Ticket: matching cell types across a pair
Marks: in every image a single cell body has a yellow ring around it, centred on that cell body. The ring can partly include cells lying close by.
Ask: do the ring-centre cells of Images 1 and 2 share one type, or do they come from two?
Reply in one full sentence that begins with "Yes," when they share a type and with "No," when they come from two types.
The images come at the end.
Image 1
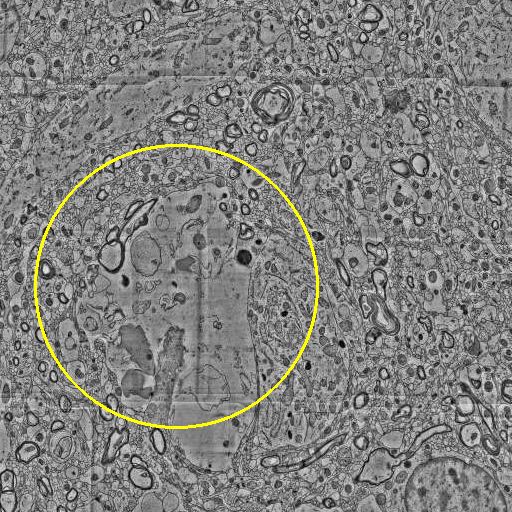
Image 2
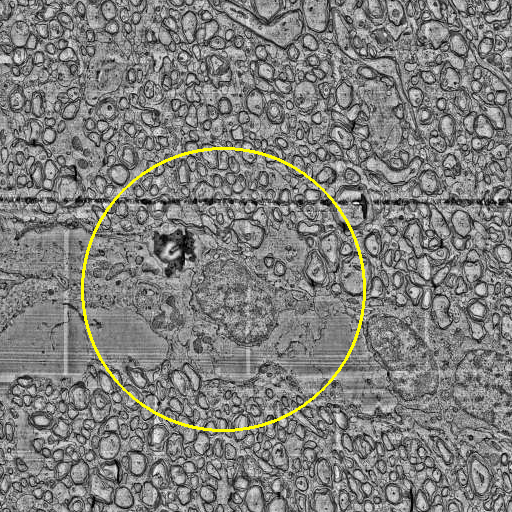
No, the cells in the centres of the rings in Image 1 and Image 2 come from two types.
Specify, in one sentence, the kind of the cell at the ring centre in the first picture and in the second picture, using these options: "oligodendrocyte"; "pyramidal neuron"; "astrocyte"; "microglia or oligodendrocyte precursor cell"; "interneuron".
So the first is an astrocyte, the second an oligodendrocyte.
